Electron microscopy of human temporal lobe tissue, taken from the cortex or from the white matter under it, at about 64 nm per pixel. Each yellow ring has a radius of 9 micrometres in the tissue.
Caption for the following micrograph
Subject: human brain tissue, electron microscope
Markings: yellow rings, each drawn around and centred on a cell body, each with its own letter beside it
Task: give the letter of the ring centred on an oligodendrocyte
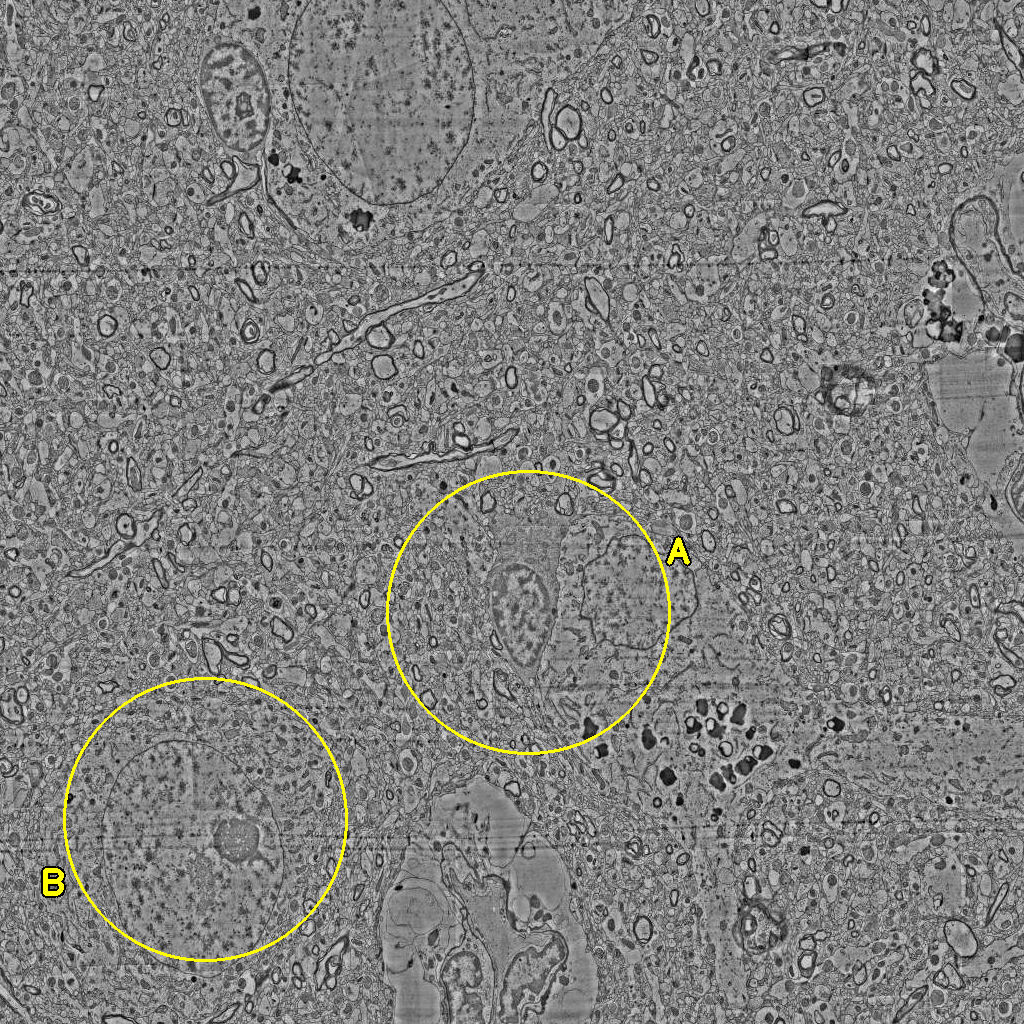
A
